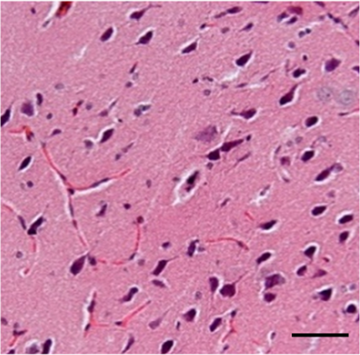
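This section of cerebral cortex, stained pink and purple, shows even, intact tissue. Cells are scattered evenly, with purple nuclei that are elongated, oval or triangular. Thin, branching capillaries containing red blood cells run through the field.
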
